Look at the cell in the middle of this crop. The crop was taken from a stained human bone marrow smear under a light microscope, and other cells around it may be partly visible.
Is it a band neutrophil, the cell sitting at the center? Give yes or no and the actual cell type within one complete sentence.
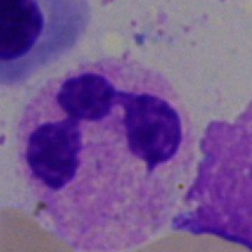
No, the middle cell is classified as a segmented neutrophil instead of a band neutrophil.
